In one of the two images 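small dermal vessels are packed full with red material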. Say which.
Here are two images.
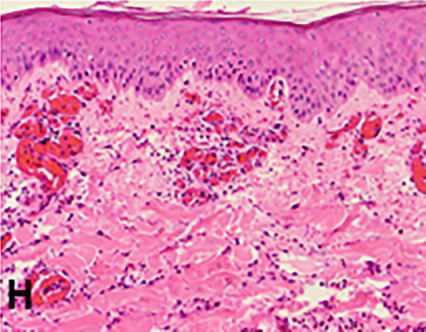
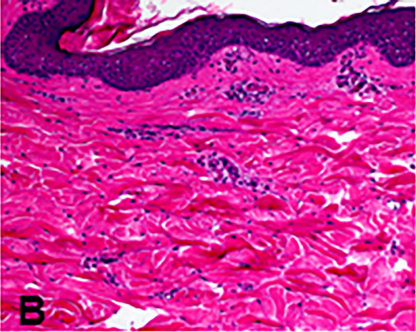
The first image.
